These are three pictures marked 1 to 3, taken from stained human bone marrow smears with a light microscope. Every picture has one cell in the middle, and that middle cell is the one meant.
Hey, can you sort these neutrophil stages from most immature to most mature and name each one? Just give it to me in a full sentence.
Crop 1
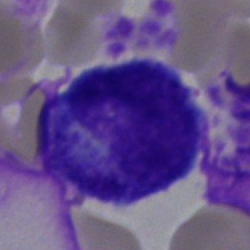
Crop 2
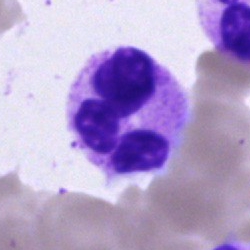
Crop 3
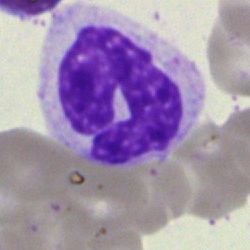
Least mature first and most mature last, the sequence is crop 1 (a promyelocyte), crop 3 (a band neutrophil) and crop 2 (a segmented neutrophil).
